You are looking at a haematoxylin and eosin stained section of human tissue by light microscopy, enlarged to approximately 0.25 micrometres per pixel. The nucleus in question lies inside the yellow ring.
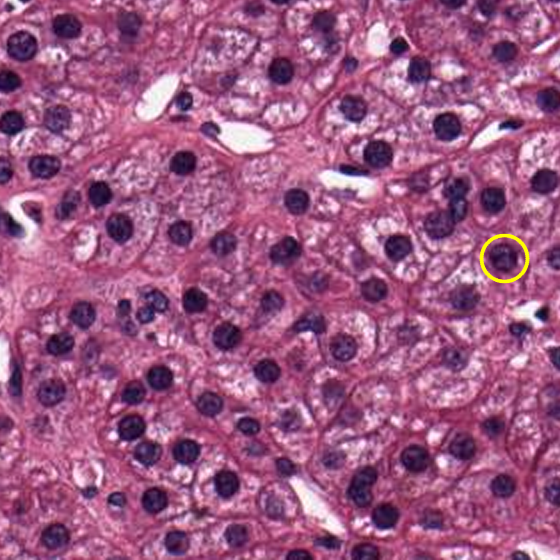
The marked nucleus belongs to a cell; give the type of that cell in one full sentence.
The marked nucleus sits within an adrenal cortical cell.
